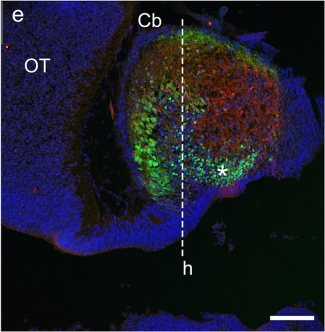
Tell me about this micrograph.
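Many green cell bodies are packed into the lower and front part of the cerebellum, forming a thick crescent of rounded cells. The surrounding tissue of the tectum and hindbrain shows mostly densely packed blue nuclei.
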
